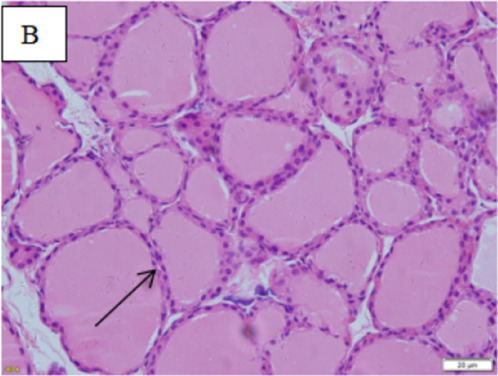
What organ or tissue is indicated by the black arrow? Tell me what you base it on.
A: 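Thyroid follicular epithelium. The arrow points to the cell layer at the edge of a follicle. Follicles are filled with pink homogeneous material and lined by one layer of cells.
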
